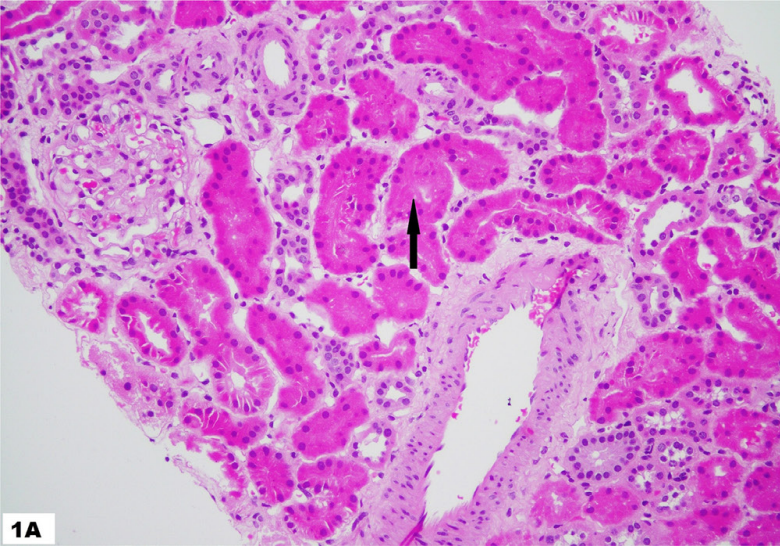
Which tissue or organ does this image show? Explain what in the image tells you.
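Many cross-sectioned tubules lined by cuboidal epithelium with pink cytoplasm. A glomerular tuft sits at the left edge. A muscular-walled vessel with an open lumen runs through the lower middle.
Conclusion: renal biopsy core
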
